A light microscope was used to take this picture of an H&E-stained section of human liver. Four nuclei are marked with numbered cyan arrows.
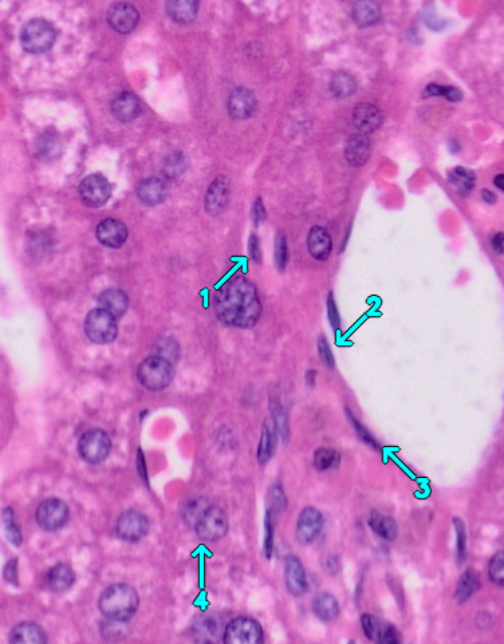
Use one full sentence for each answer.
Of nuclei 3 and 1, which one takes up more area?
Nucleus 3 covers more area, about 1.5 times as much as nucleus 1.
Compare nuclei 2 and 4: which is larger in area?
Nucleus 4 is the larger one, covering about 4 times the area of nucleus 2.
